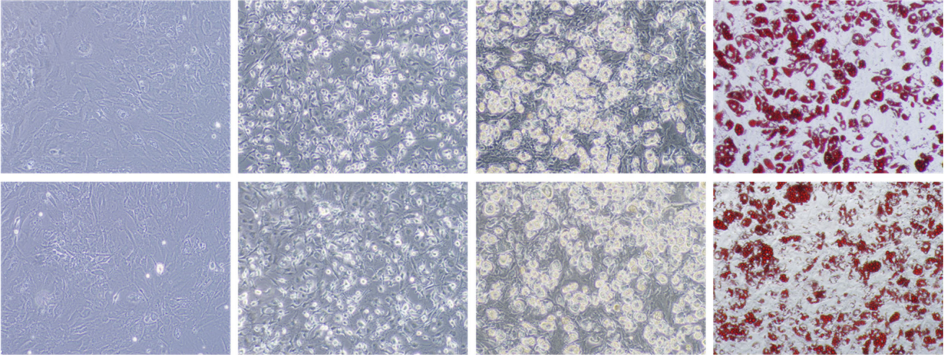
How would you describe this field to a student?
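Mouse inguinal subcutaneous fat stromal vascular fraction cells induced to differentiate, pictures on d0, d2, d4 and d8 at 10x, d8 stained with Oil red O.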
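In the leftmost images the cells are flat, elongated and spindle-shaped, spread as a sheet across the dish. In the middle images many cells have rounded up and hold small bright refractile droplets, lying among flat spindle-shaped cells. In the rightmost images many rounded cells are packed with red-stained droplets, in clusters separated by pale unstained areas.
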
